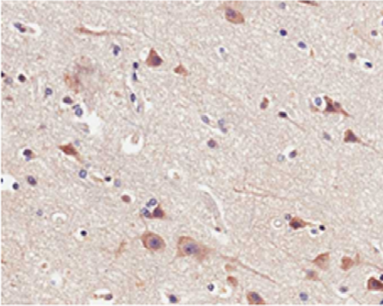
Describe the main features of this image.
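Cerebral grey matter in which scattered neurons stand out with brown-stained, triangular to pyramidal cell bodies and large round nuclei with nucleoli. Around them lies a pale fibrillary background with small blue nuclei of other cells.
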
